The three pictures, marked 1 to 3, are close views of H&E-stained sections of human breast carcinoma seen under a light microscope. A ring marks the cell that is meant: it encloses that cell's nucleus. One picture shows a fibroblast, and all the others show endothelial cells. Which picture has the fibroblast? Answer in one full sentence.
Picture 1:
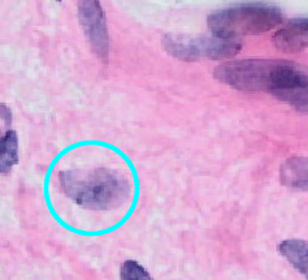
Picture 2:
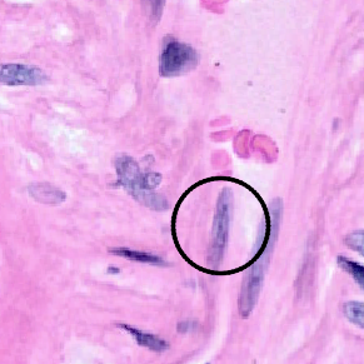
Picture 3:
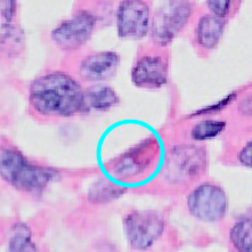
The fibroblast is the one in picture 1.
